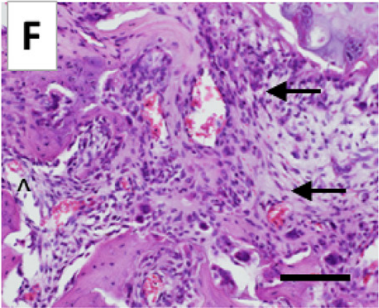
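In the subchondral region, between pink fragments of bone, the tissue is crowded with small cells with dark round nuclei, an inflammatory cell infiltrate. Among them run small vessels holding red blood cells, and elongated spindle-shaped cells lie between the clusters.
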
